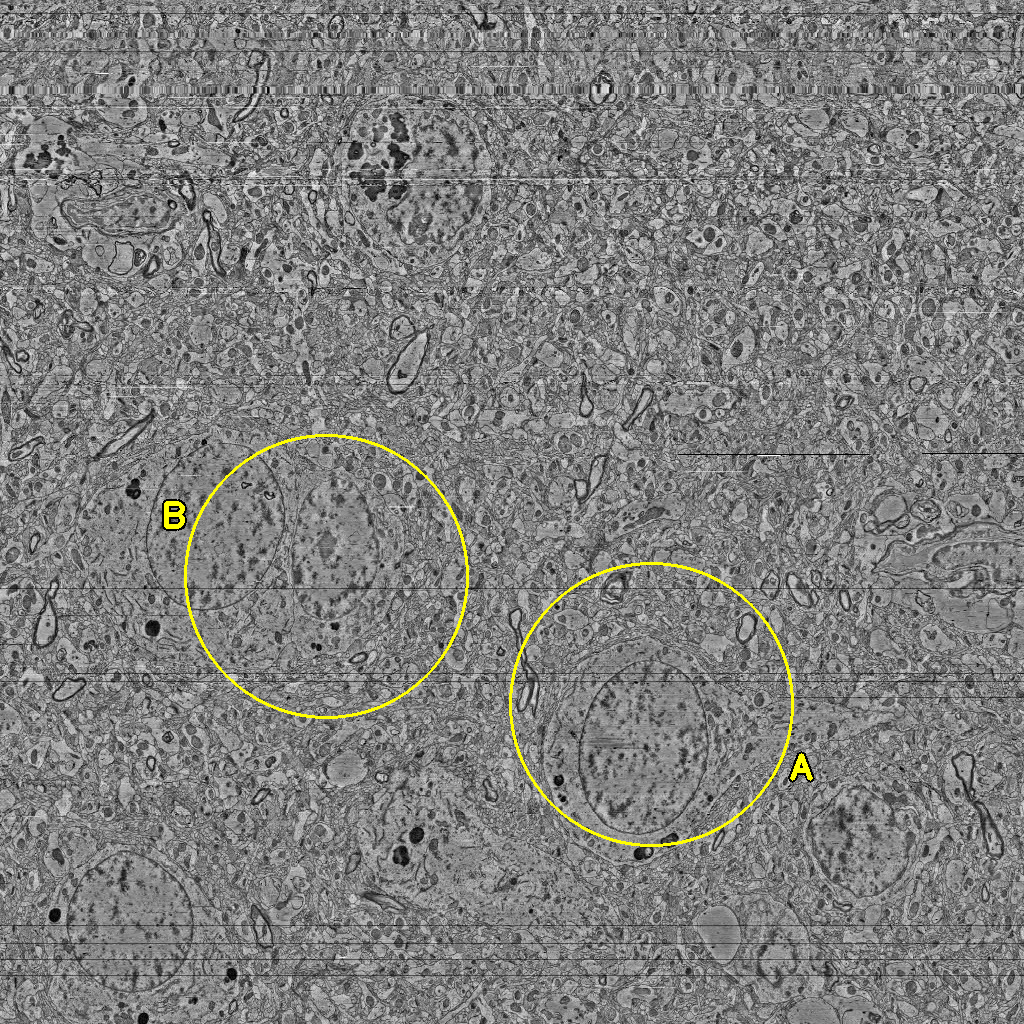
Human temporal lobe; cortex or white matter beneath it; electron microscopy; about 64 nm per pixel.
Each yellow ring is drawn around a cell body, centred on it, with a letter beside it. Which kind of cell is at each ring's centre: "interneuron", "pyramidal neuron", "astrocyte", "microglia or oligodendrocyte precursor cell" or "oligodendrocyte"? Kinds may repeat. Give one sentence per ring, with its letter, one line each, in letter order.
Ring A is centred on a pyramidal neuron.
Ring B is centred on an interneuron.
